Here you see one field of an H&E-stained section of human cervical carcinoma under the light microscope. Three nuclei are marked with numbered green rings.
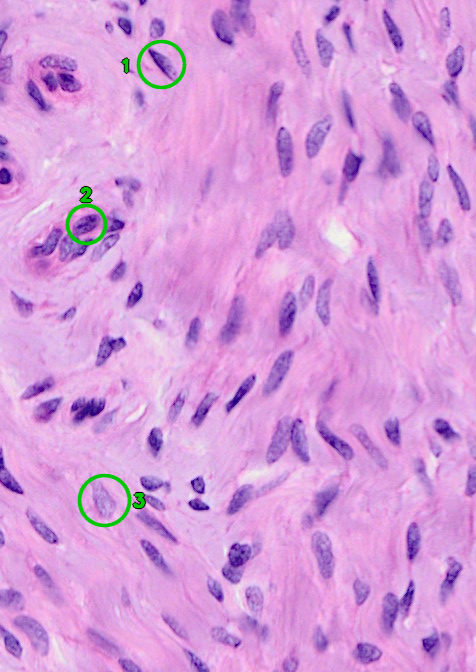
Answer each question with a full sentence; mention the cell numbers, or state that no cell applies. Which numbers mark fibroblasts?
Only the cell with number 1 is a fibroblast.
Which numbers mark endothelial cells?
Cell 2 is an endothelial cell, and this holds for no other numbered cell.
